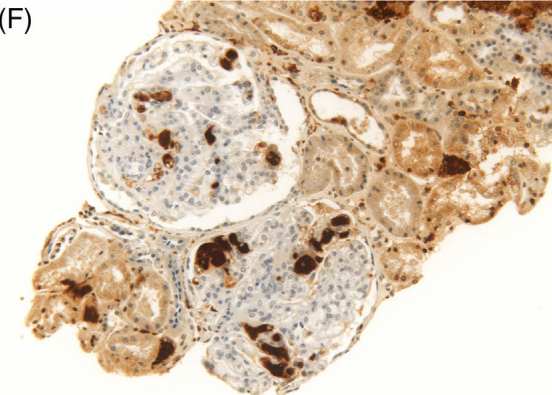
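Within the glomerular tufts, clumps of intensely brown cells sit among the blue nuclei of the capillary loops. More dark brown cells gather between and around the tubules in the interstitium at the edges of the section.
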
